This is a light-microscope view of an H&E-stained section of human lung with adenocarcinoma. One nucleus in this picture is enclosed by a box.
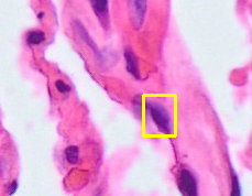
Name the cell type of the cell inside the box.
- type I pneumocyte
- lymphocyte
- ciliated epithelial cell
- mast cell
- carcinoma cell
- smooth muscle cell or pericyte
type I pneumocyte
